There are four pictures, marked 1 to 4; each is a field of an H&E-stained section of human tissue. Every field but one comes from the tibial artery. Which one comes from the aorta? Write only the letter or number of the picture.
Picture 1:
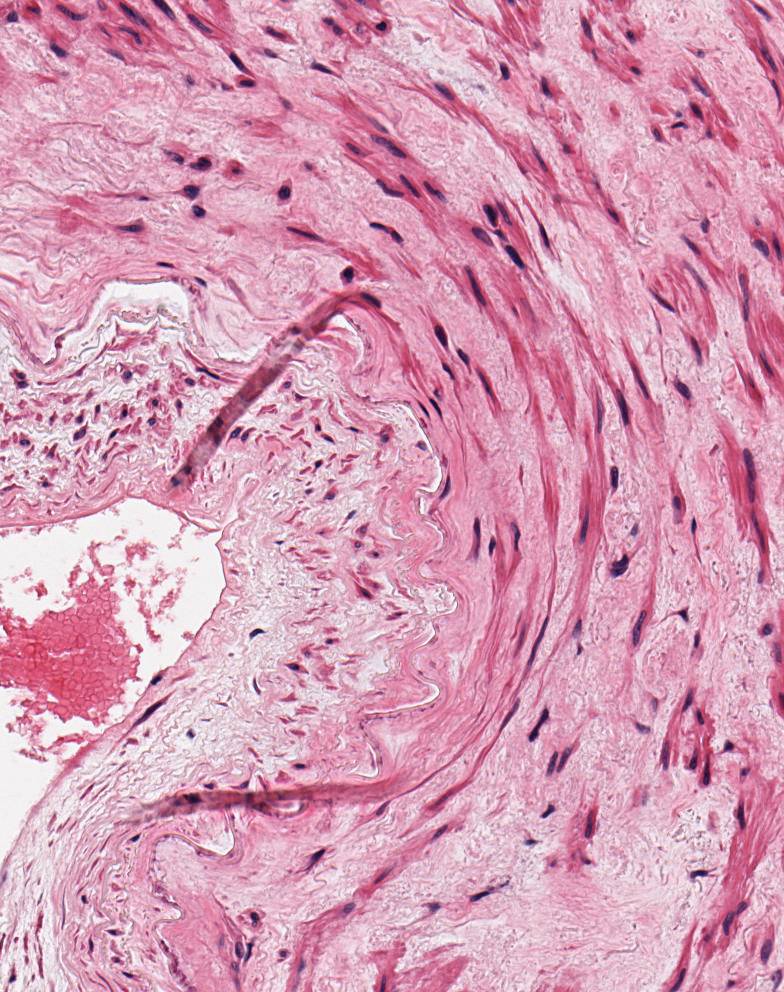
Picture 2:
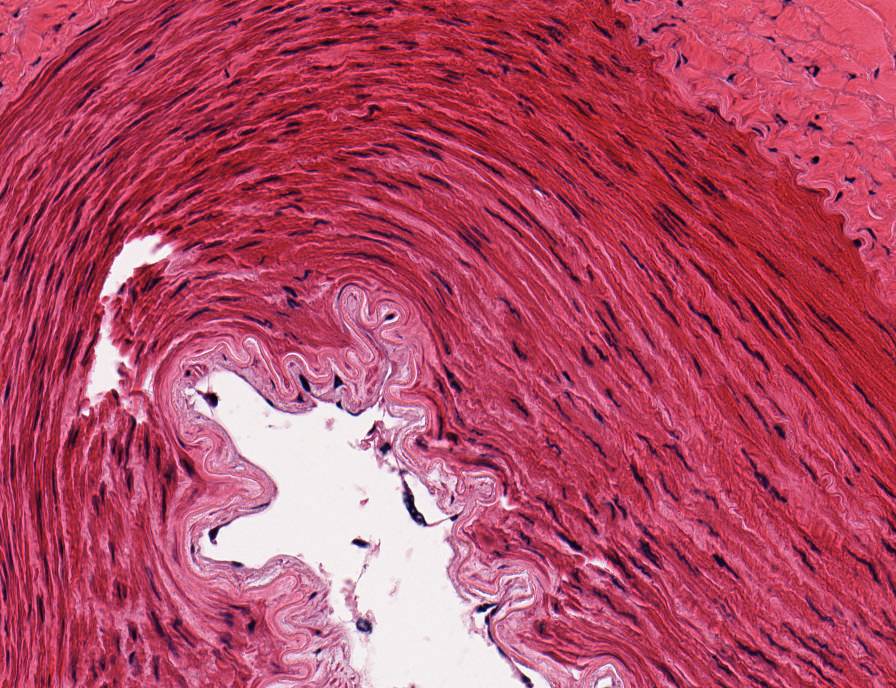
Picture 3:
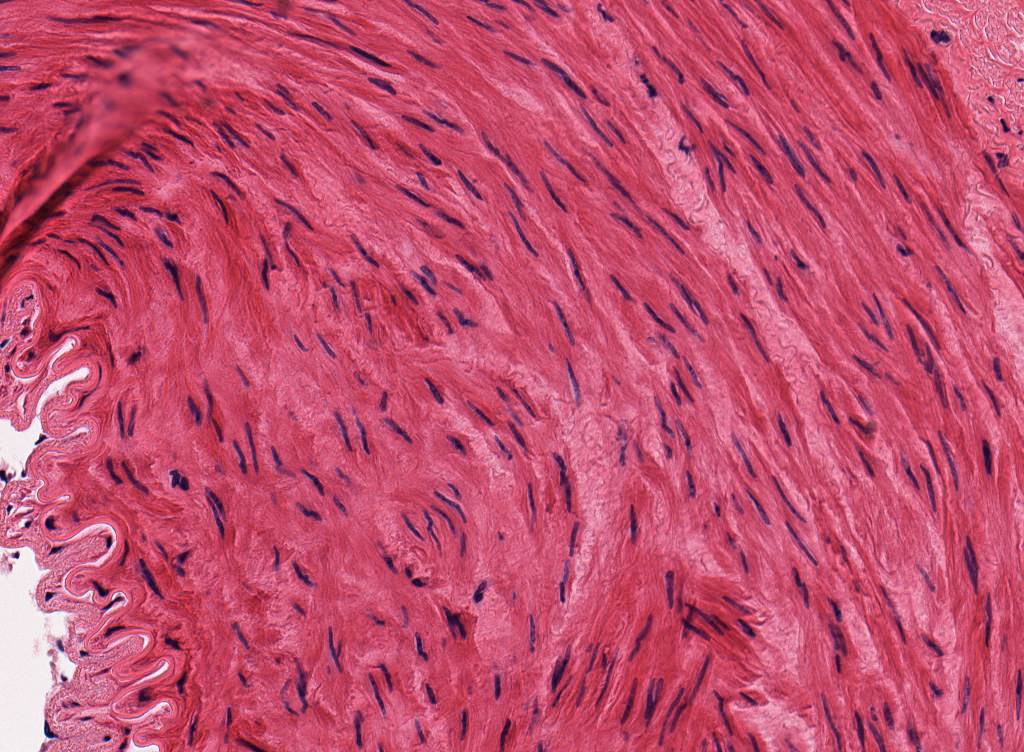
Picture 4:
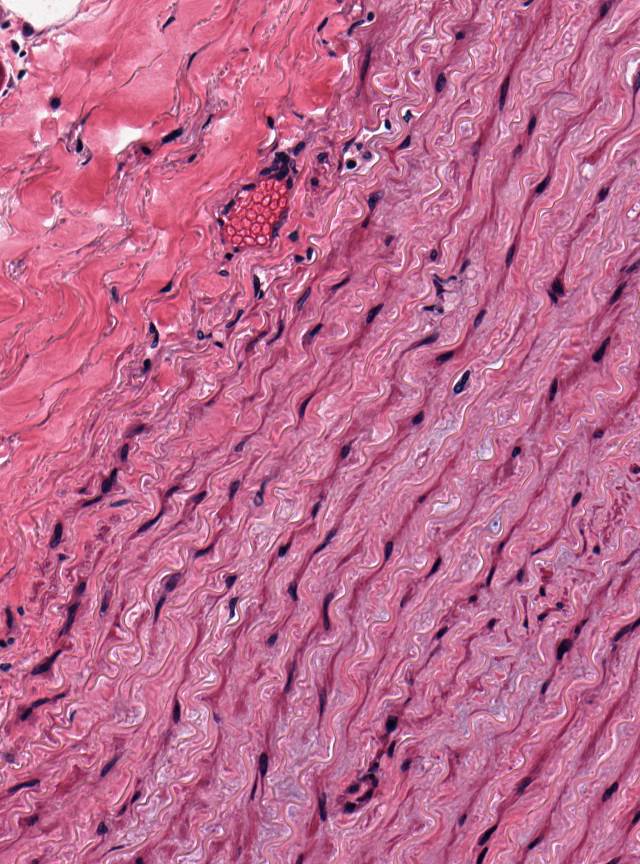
4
